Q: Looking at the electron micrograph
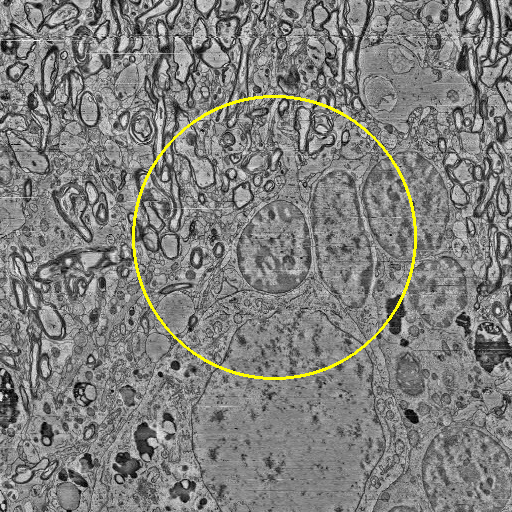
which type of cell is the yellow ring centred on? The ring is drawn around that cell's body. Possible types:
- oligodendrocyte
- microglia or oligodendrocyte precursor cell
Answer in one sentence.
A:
The yellow ring is centred on a microglial cell or oligodendrocyte precursor cell.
